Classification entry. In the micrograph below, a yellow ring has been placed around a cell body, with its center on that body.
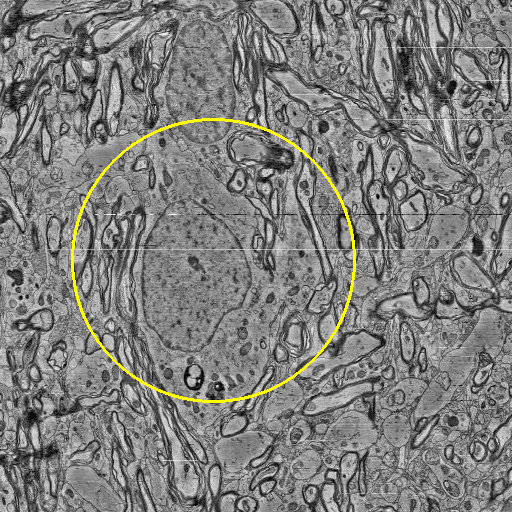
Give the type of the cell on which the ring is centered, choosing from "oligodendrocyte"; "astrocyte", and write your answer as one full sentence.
The cell body at the center of the yellow ring belongs to an astrocyte.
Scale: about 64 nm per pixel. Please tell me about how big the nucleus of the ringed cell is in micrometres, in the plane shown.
About 10 by 7 micrometers, in this plane.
